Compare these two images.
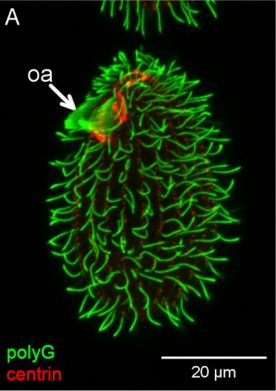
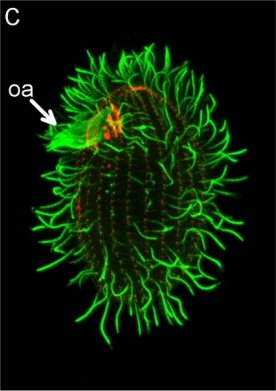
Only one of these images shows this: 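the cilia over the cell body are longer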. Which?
The second image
